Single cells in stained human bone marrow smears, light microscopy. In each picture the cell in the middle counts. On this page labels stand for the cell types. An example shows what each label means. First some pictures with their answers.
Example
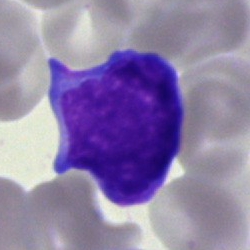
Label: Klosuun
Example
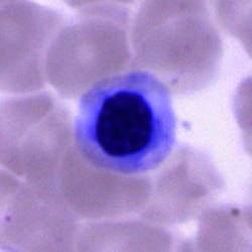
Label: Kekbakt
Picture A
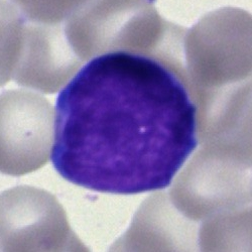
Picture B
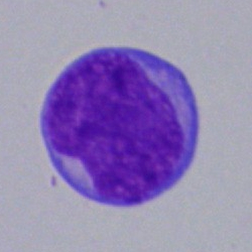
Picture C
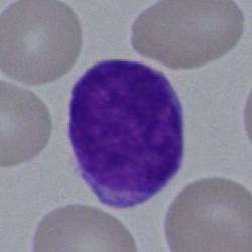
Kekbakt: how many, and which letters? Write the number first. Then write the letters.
0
